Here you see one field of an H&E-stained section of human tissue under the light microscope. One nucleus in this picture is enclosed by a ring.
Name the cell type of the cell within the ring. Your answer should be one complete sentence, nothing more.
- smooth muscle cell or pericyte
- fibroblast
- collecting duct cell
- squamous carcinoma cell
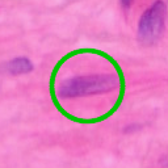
Cell type answer for this item: the cell within the ring is a smooth muscle cell or pericyte.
